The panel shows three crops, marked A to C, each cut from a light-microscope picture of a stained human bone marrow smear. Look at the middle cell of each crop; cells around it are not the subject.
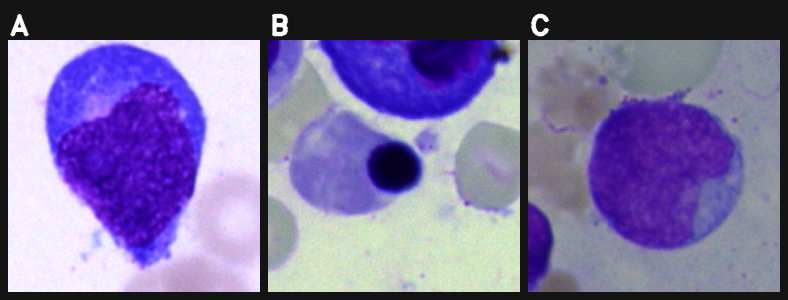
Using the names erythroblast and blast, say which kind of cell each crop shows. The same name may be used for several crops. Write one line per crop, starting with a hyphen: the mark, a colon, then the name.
- A: blast
- B: erythroblast
- C: blast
